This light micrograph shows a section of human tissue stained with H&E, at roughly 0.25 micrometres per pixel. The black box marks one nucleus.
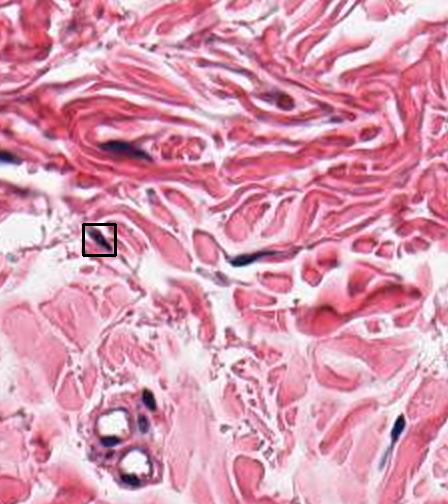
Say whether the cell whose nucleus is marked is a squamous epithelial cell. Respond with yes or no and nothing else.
no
